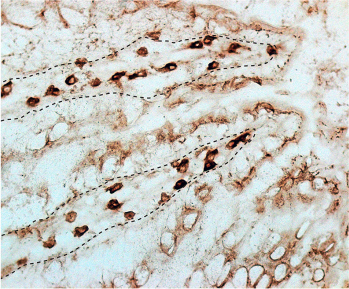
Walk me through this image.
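Small intestinal villi are cut lengthwise, each covered by a pale columnar epithelium containing clear rounded vacuoles. Within the narrow lamina propria cores, bounded by dashed lines, lie numerous intensely dark brown, rounded leukocytes, while the epithelium itself is only faintly stained.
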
